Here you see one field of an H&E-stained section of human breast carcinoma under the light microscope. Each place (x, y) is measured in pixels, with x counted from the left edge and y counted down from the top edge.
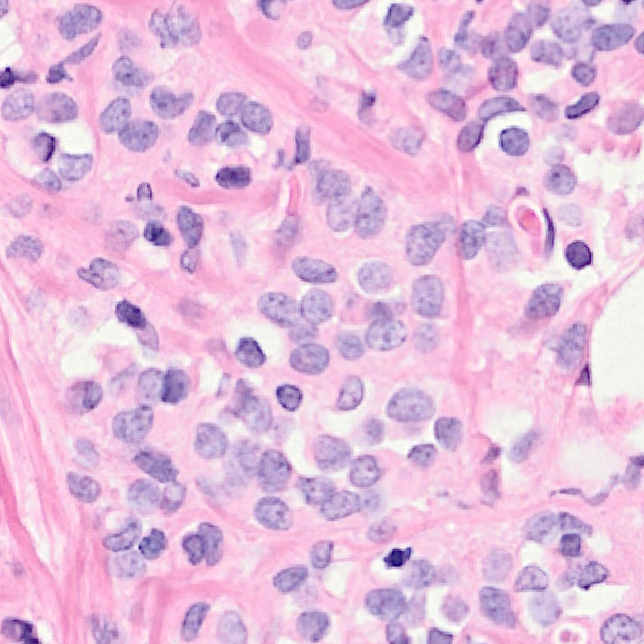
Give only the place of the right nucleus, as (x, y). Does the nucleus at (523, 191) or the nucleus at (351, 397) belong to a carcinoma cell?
(351, 397)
